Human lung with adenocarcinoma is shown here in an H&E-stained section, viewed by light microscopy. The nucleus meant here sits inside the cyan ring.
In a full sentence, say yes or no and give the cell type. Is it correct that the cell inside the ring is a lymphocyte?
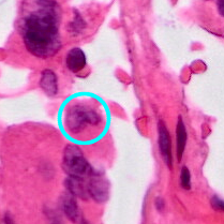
No, the identity of the cell inside the ring is a macrophage or monocyte, not a lymphocyte.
